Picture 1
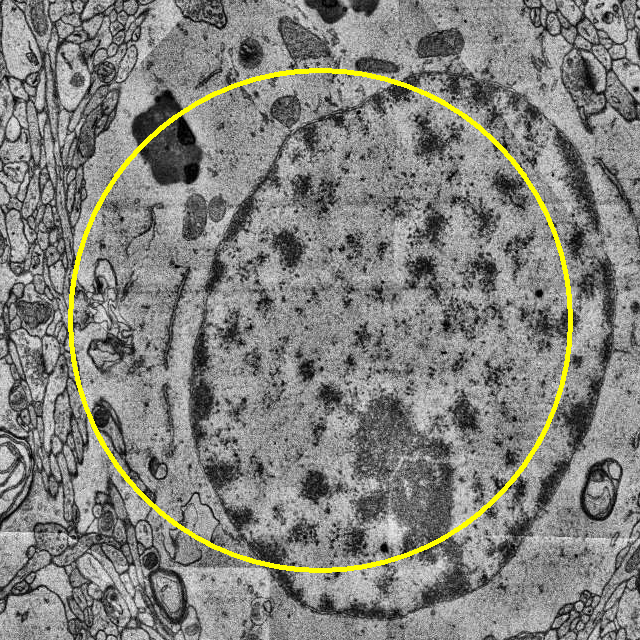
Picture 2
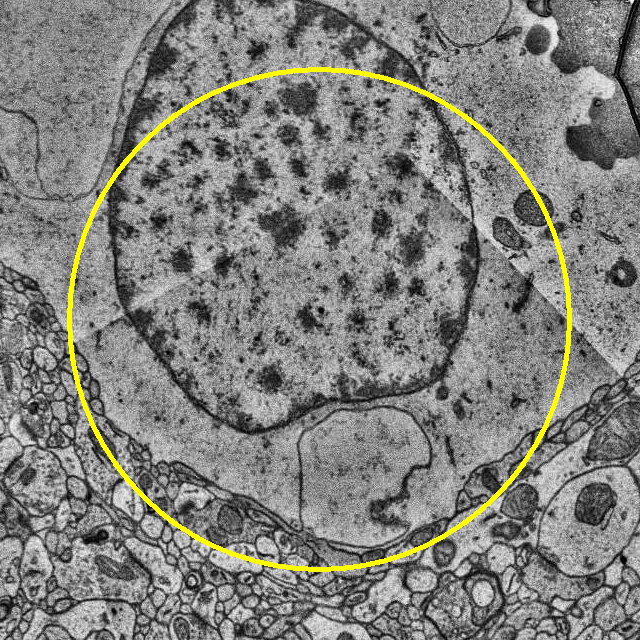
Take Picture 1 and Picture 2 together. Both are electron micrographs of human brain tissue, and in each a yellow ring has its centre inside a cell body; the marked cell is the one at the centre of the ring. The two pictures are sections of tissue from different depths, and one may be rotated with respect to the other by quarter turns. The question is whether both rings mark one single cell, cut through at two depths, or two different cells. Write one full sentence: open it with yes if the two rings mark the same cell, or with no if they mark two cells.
No, one ring and the other ring mark two distinct cells.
